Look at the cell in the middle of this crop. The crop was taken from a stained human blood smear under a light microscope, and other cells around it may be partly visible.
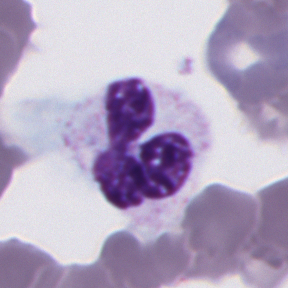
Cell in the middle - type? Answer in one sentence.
The crop shows a segmented neutrophil in its centre.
